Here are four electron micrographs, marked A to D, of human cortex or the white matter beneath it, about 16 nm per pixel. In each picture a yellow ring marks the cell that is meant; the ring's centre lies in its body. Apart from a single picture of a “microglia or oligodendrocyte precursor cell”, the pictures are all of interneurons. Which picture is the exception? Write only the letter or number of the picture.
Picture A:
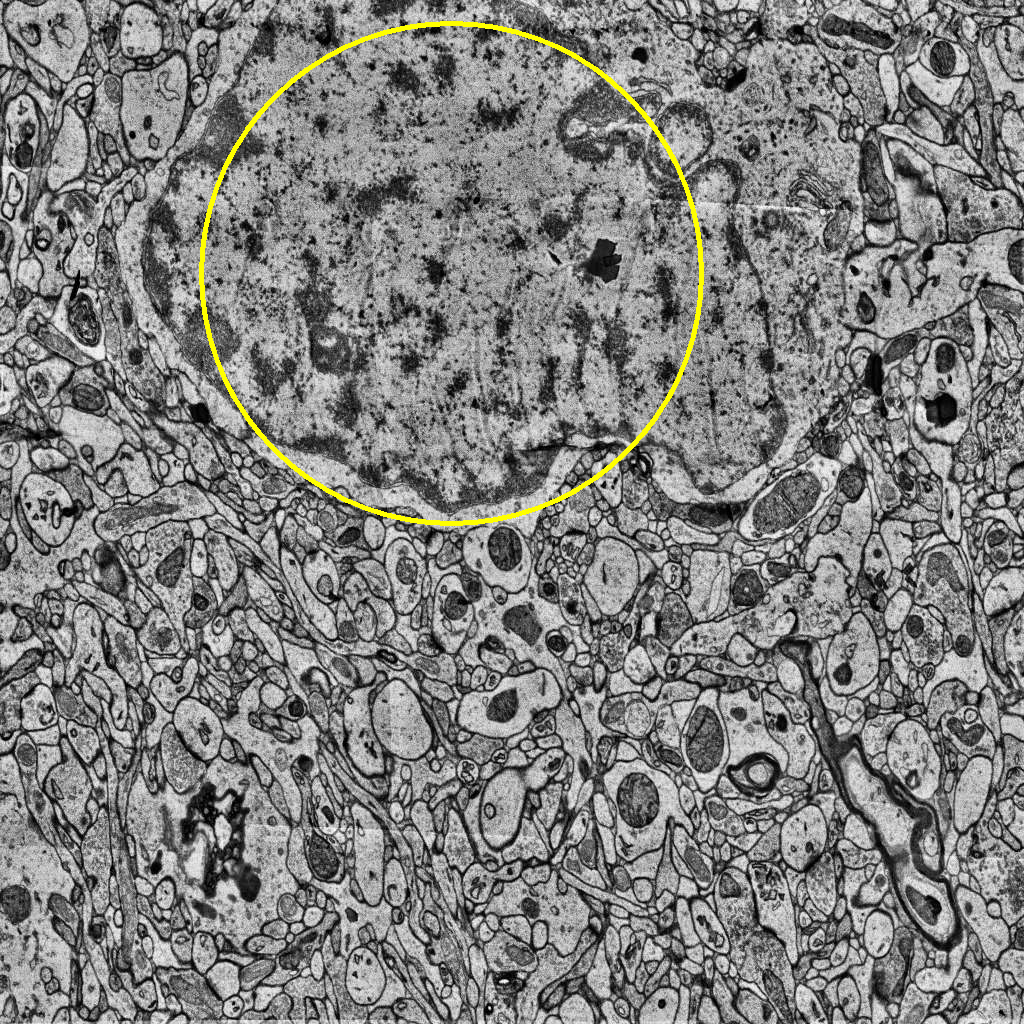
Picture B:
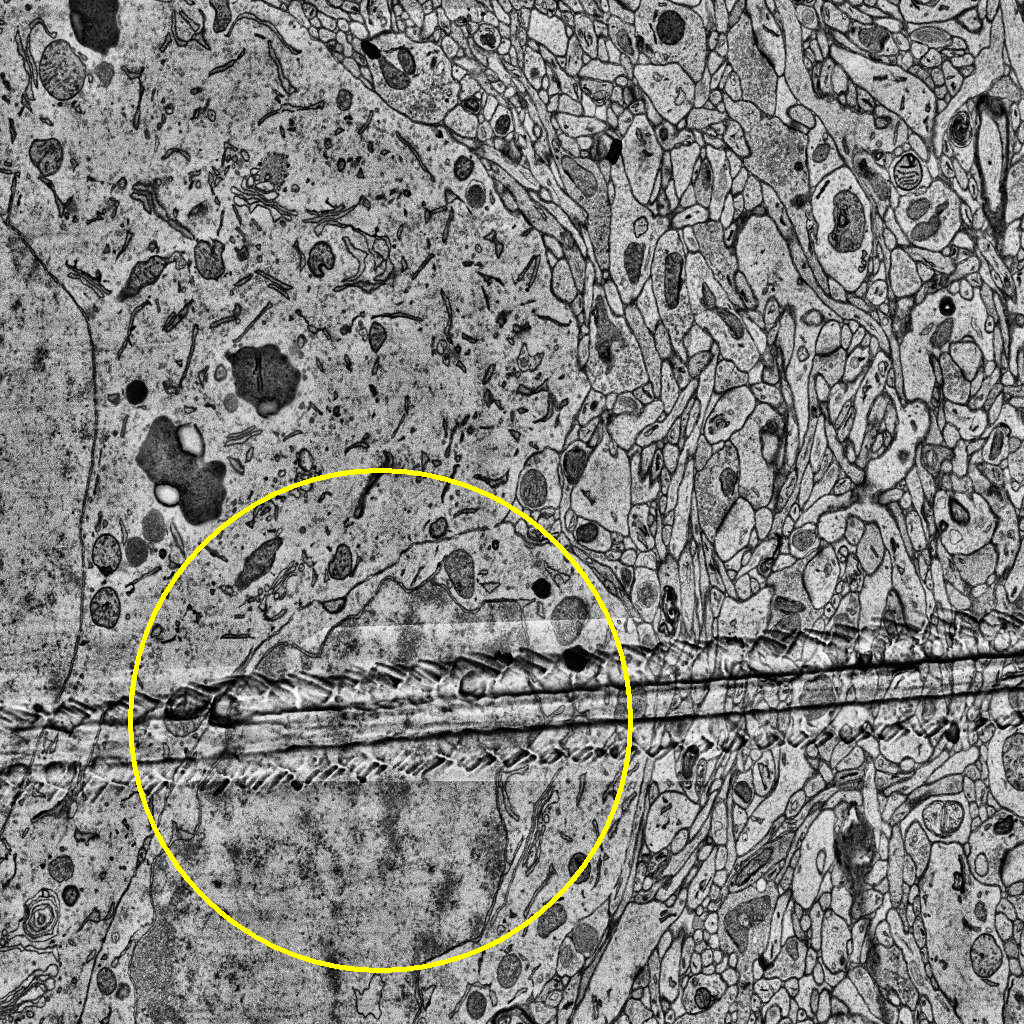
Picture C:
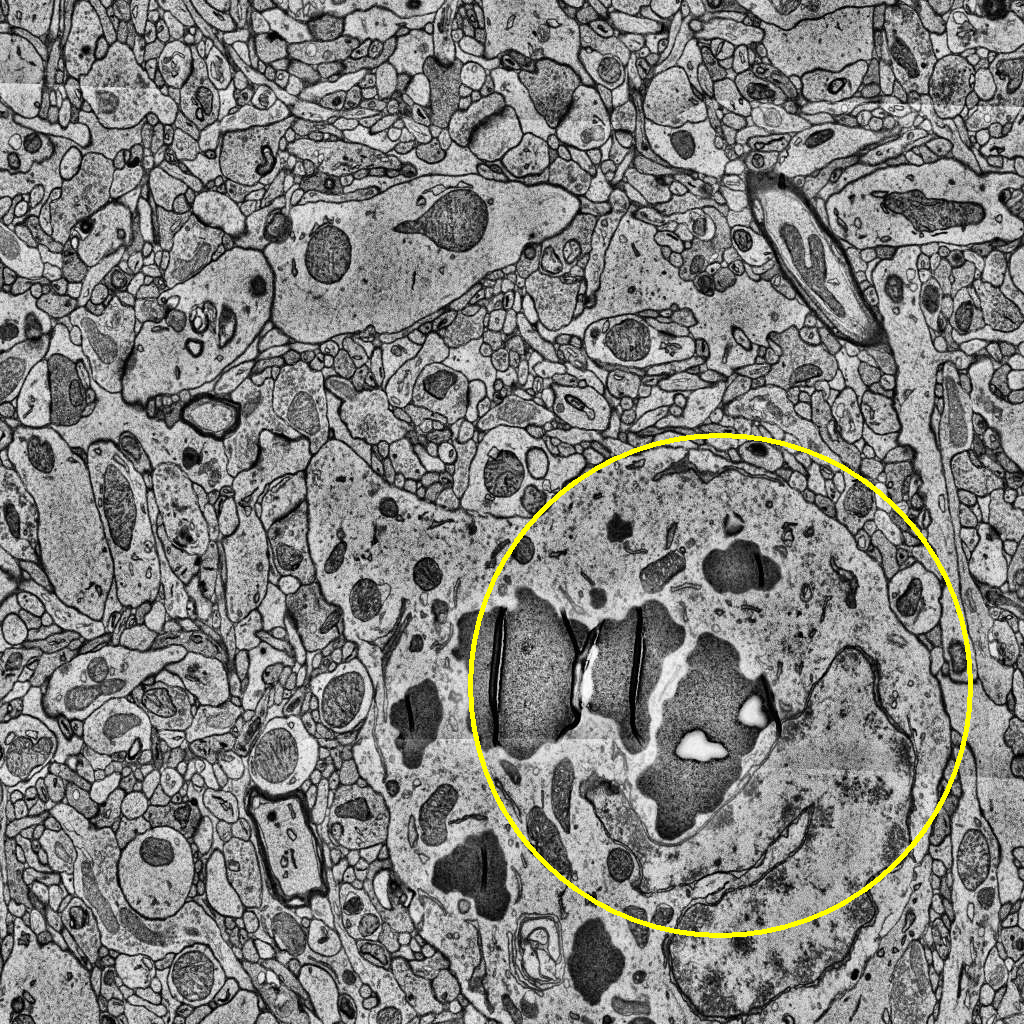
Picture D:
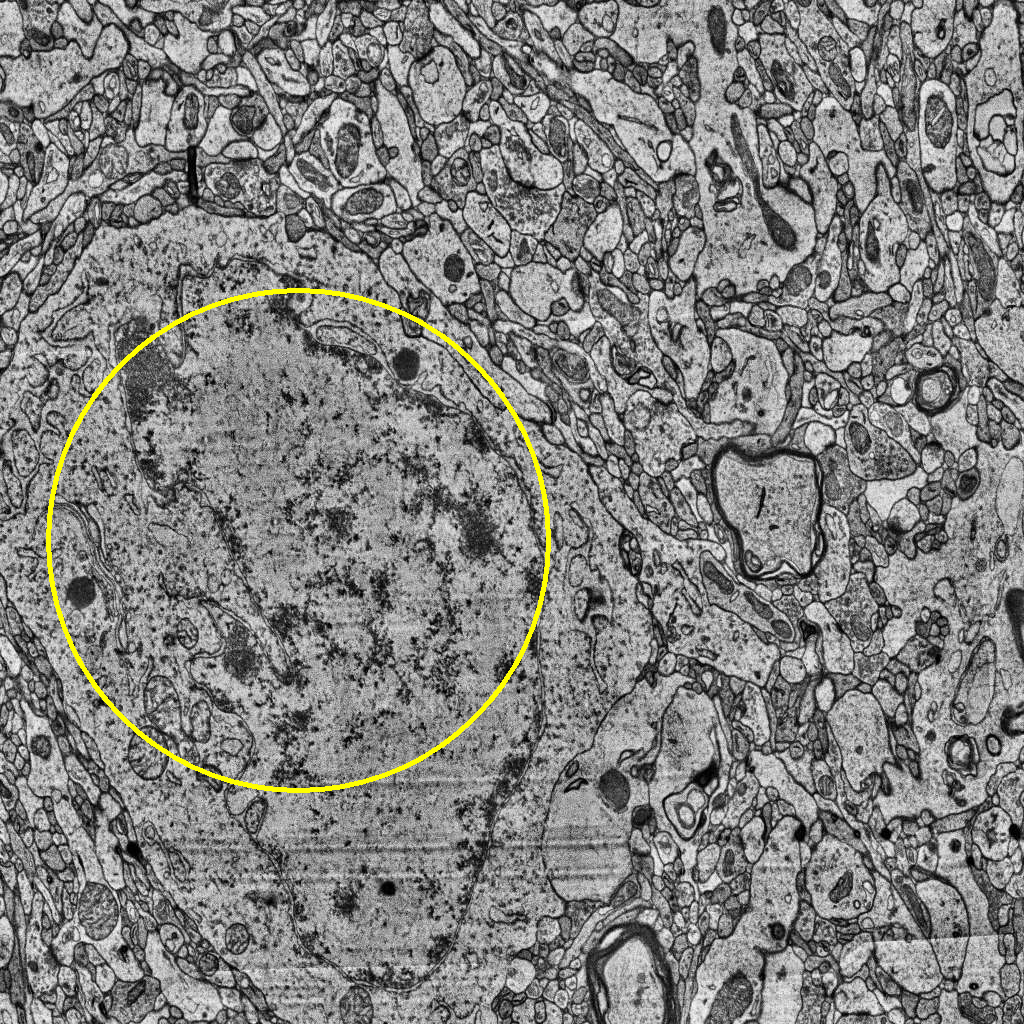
A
